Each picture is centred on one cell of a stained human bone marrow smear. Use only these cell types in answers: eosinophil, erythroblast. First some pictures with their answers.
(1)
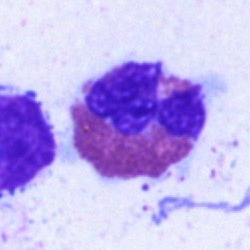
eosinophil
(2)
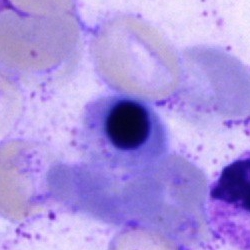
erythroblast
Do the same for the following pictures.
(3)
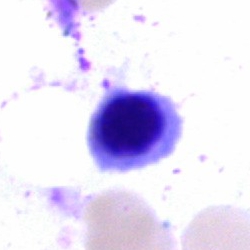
erythroblast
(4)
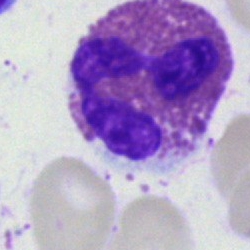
eosinophil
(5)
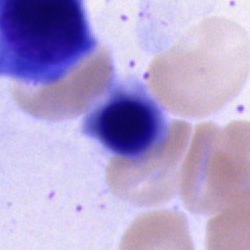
erythroblast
